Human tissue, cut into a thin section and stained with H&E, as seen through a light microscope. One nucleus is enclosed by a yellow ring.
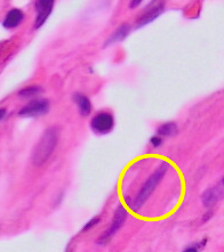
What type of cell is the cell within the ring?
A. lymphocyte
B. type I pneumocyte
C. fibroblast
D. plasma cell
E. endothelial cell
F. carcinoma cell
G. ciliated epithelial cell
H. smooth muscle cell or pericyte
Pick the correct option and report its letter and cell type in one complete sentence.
Option H is correct here; the cell within the ring is a smooth muscle cell or pericyte.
